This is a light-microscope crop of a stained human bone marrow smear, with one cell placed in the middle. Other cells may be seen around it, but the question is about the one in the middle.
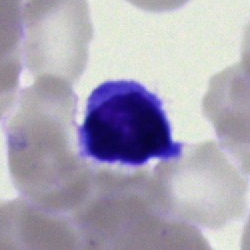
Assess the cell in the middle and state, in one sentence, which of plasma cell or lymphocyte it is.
The cell sitting right in the middle is a lymphocyte.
